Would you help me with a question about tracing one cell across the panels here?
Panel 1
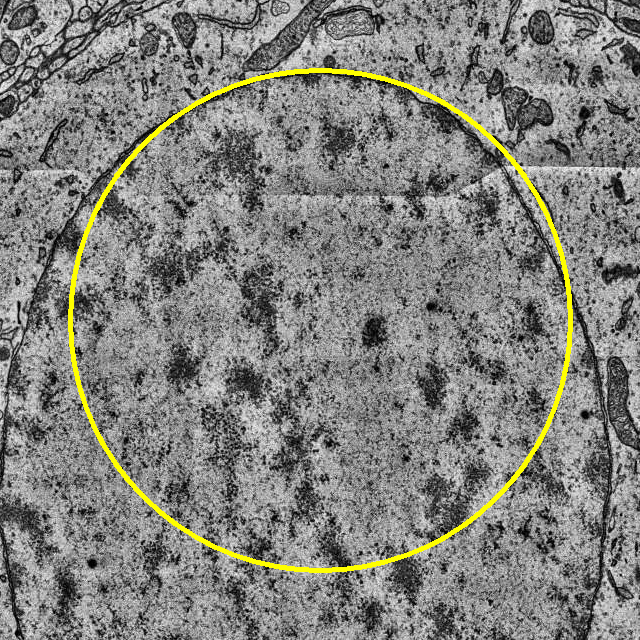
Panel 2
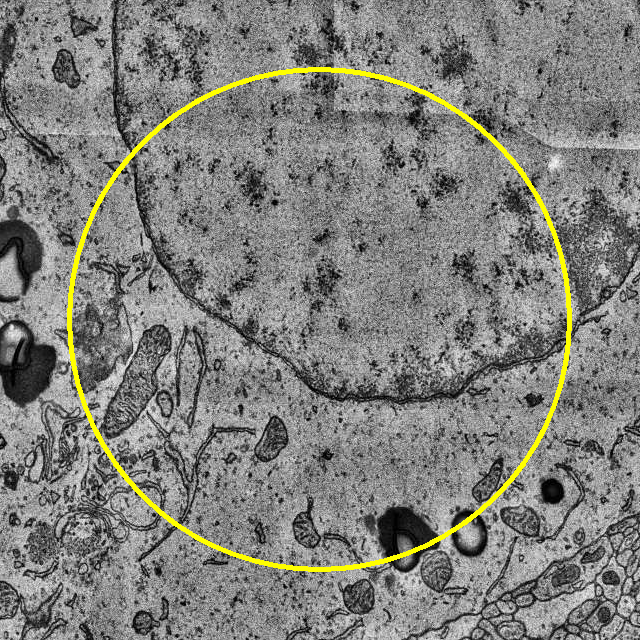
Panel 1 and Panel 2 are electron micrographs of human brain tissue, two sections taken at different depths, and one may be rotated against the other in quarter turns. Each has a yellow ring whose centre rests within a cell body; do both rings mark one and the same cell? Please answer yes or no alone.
no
